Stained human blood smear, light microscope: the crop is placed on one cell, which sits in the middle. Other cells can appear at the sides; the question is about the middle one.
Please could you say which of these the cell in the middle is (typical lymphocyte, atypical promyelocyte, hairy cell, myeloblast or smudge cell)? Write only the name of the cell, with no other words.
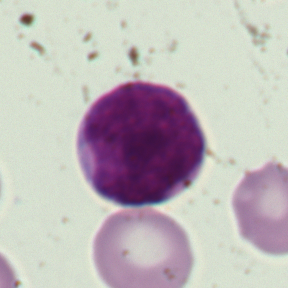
myeloblast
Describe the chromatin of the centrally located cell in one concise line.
The chromatin within its nucleus forms coarse clumps.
